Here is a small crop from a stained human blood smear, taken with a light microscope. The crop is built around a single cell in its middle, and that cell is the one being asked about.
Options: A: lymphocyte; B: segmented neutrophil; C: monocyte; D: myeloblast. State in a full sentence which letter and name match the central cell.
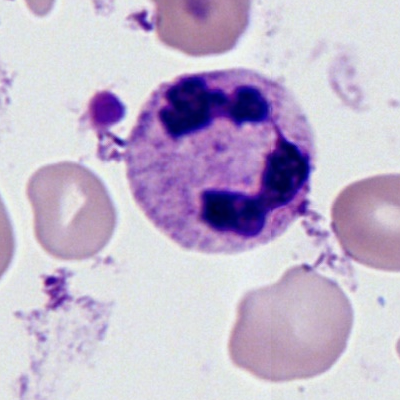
Since the cell in the middle is a segmented neutrophil, option B is correct.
